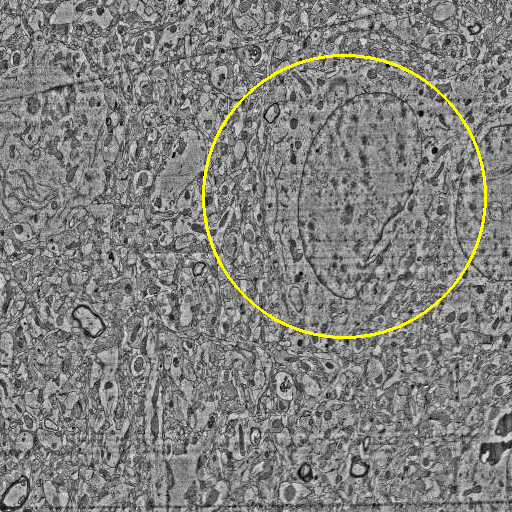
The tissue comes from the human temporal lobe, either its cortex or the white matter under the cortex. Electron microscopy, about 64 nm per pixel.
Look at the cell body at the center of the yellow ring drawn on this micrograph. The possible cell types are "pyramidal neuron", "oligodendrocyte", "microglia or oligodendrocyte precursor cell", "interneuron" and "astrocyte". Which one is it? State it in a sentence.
The cell in the middle of the ring is a pyramidal neuron.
